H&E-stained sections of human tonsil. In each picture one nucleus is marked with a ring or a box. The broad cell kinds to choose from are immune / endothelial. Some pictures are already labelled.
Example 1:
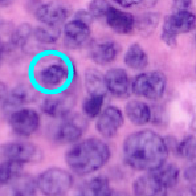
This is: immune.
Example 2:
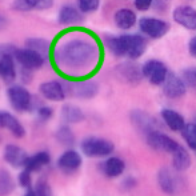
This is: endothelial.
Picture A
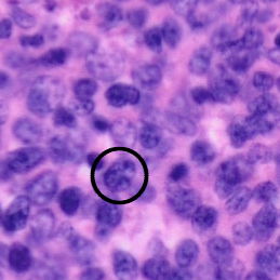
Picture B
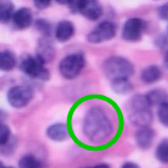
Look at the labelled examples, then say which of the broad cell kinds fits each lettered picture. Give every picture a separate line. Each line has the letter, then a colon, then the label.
A: immune.
B: endothelial.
